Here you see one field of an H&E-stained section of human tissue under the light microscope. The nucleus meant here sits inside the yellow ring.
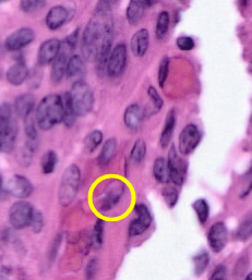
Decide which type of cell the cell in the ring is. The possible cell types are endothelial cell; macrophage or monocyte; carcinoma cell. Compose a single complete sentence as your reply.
In the tissue at hand, the cell in the ring is an endothelial cell.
